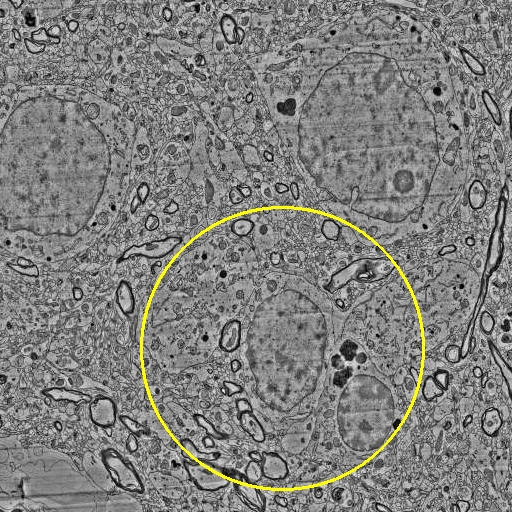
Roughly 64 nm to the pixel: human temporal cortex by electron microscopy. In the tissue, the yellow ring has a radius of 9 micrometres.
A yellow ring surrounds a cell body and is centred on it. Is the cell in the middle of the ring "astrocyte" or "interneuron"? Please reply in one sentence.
The ring is centred on an interneuron.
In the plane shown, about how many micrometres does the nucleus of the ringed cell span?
The nucleus measures about 8 by 5 micrometres, so it is clearly longer than it is wide in this plane.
